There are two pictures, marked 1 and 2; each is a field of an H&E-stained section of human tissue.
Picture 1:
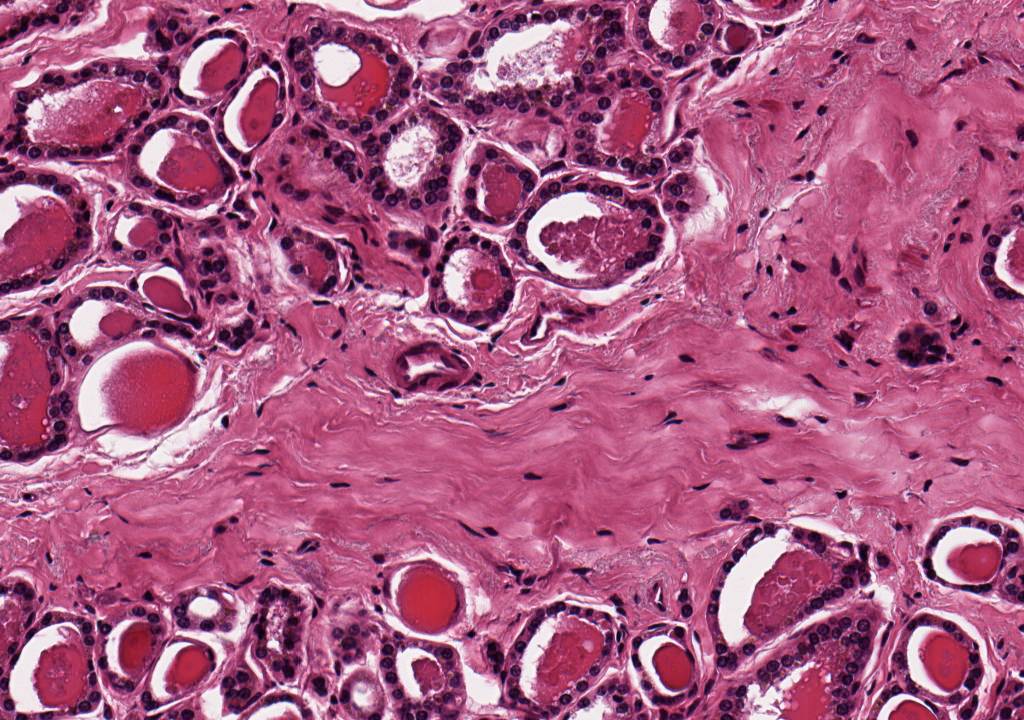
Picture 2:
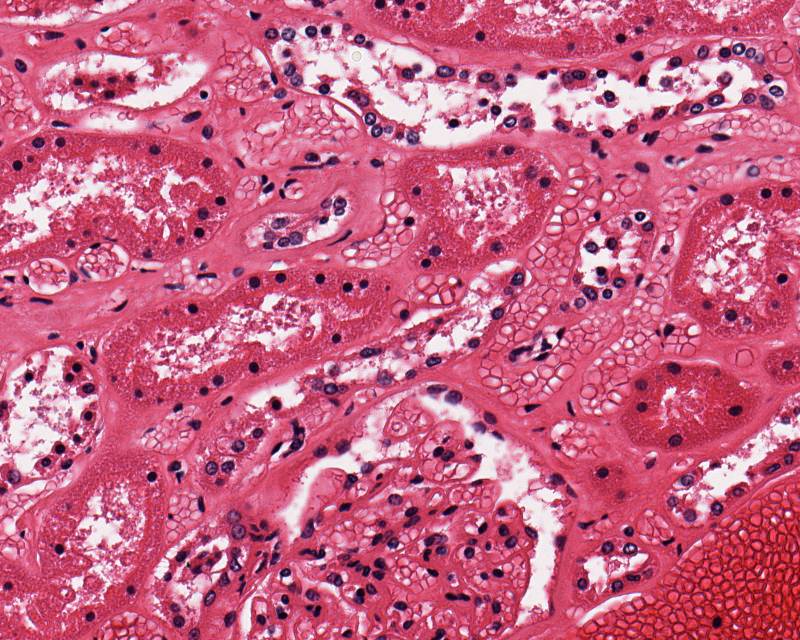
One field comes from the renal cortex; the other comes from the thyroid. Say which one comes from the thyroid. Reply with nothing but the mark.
1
